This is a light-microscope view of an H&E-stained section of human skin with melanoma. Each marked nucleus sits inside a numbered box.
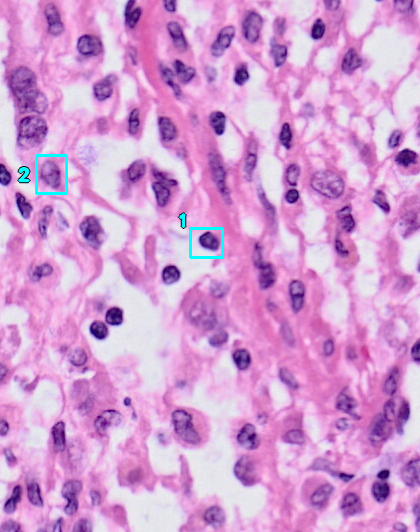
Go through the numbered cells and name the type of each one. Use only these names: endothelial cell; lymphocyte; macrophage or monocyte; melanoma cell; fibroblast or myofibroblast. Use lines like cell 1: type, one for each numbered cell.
cell 1: lymphocyte
cell 2: macrophage or monocyte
